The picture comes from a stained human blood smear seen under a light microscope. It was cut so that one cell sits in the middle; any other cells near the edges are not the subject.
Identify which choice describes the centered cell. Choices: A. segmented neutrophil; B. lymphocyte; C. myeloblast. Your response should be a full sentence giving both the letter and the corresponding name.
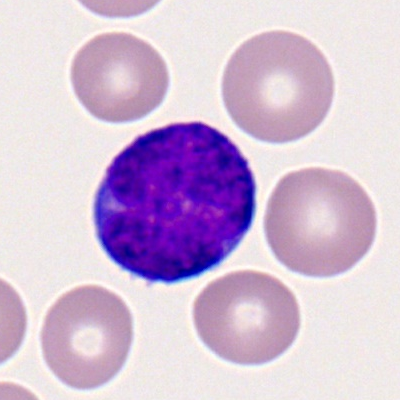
Given that the cell in the middle is a myeloblast, option C is correct.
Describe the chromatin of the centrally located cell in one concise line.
The nucleus shows chromatin that is coarsely clumped.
